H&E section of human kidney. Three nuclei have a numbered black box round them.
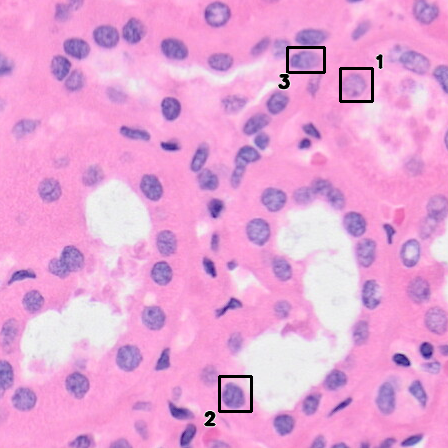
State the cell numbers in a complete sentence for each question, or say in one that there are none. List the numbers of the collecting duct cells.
Of the marked cells, the one numbered 3 is a collecting duct cell and the rest are not.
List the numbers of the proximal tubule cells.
Cell 1 is a proximal tubule cell, and it is the only numbered cell that is.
